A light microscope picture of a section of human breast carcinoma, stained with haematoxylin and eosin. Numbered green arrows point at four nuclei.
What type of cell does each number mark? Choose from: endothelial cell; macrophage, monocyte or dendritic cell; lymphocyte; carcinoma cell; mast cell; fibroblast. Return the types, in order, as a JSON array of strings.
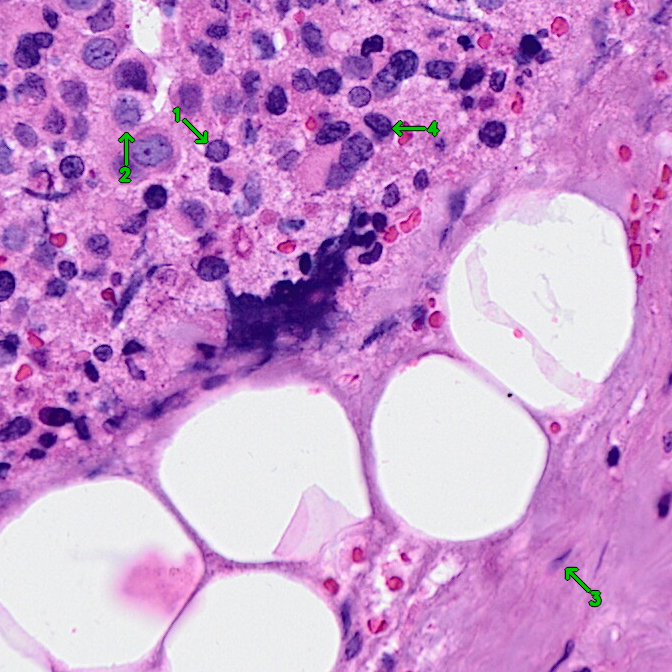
["carcinoma cell", "carcinoma cell", "fibroblast", "carcinoma cell"]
